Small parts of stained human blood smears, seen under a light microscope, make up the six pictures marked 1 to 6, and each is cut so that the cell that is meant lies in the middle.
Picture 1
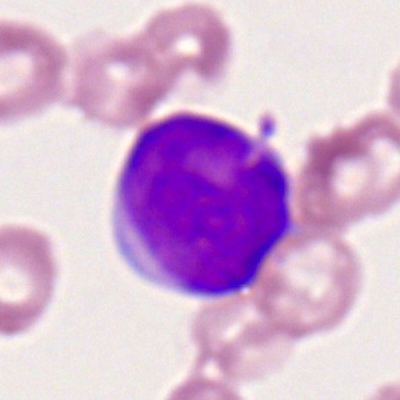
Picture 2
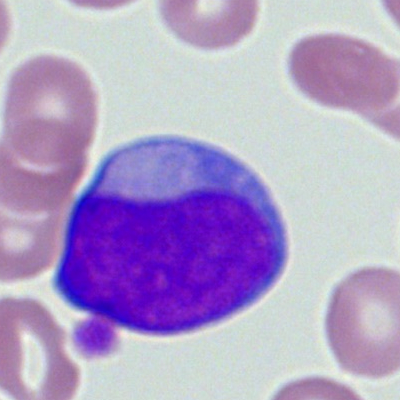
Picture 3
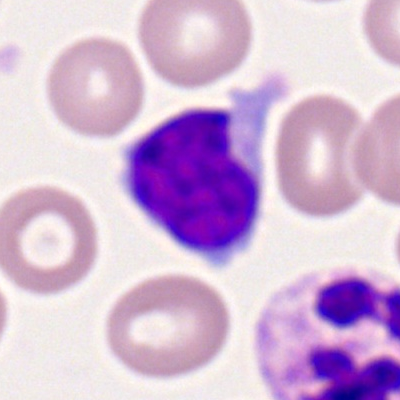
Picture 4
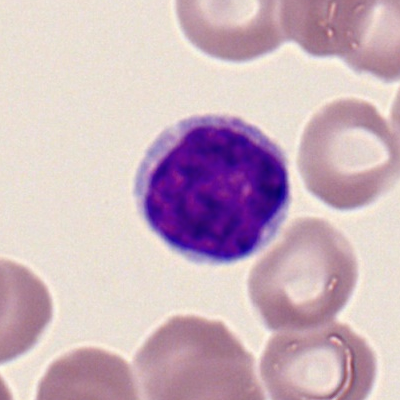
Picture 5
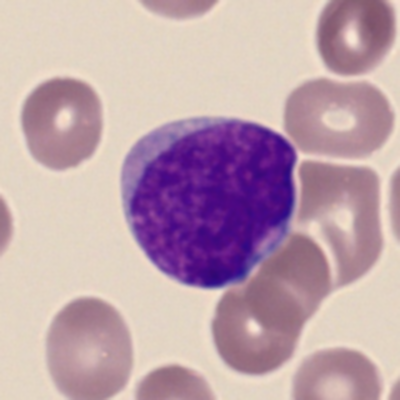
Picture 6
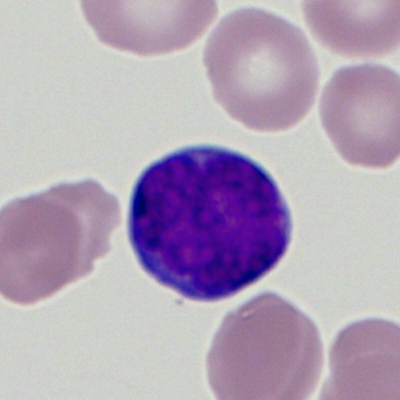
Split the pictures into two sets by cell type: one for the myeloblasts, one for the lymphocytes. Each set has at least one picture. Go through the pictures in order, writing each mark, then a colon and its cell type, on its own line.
1: myeloblast
2: myeloblast
3: lymphocyte
4: lymphocyte
5: myeloblast
6: myeloblast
